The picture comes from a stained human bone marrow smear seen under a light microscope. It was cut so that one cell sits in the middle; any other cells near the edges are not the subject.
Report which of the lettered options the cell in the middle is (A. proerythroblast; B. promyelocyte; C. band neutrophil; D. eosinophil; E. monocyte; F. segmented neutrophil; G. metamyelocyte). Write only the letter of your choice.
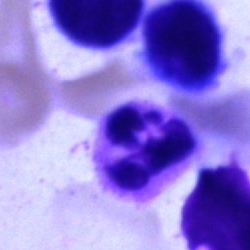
F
